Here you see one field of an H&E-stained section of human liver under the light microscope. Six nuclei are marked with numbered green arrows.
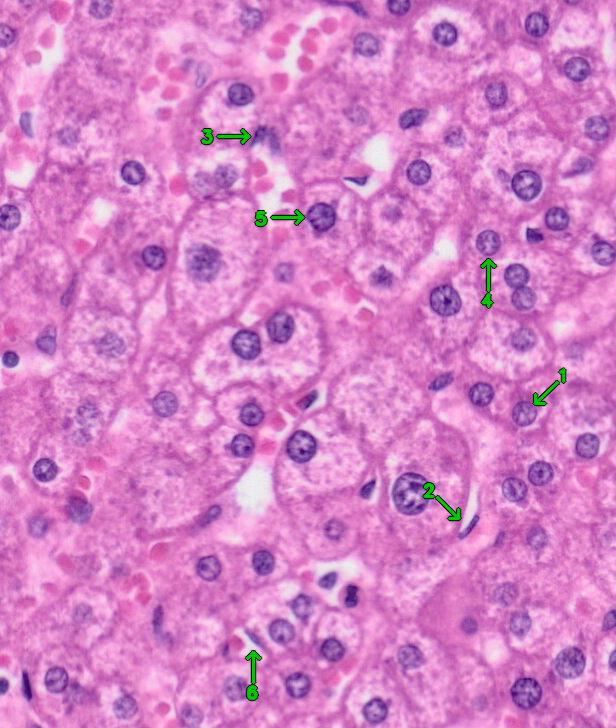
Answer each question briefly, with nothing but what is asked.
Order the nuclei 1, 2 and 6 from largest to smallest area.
1, 2, 6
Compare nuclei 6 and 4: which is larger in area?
4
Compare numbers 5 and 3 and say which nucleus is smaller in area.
3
